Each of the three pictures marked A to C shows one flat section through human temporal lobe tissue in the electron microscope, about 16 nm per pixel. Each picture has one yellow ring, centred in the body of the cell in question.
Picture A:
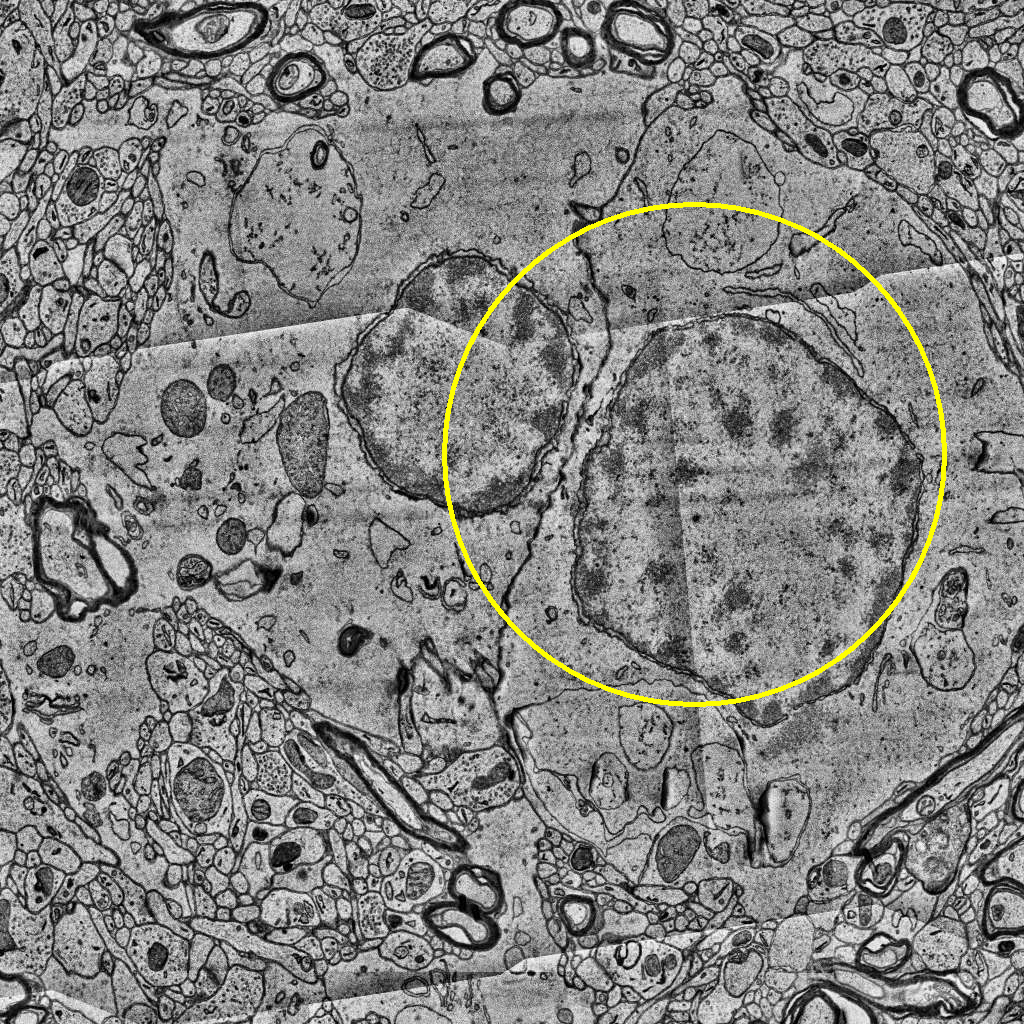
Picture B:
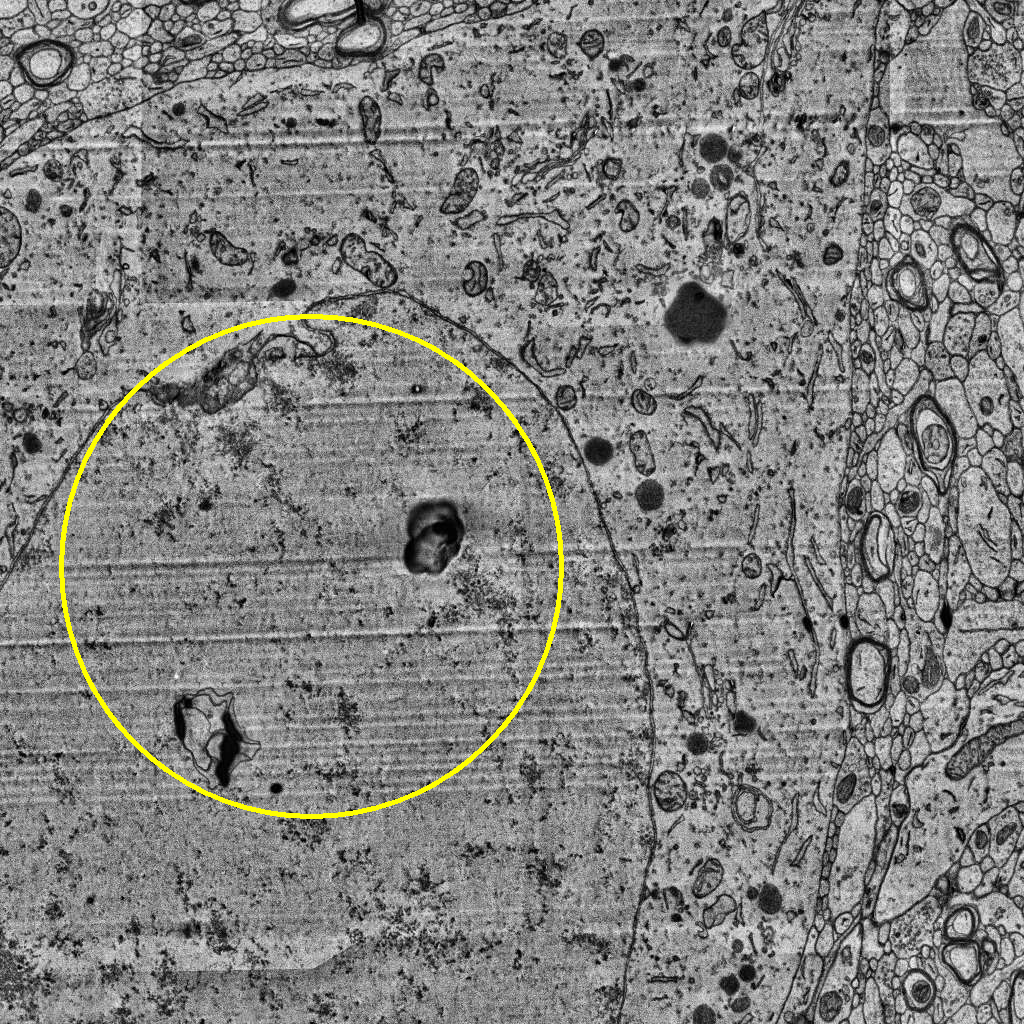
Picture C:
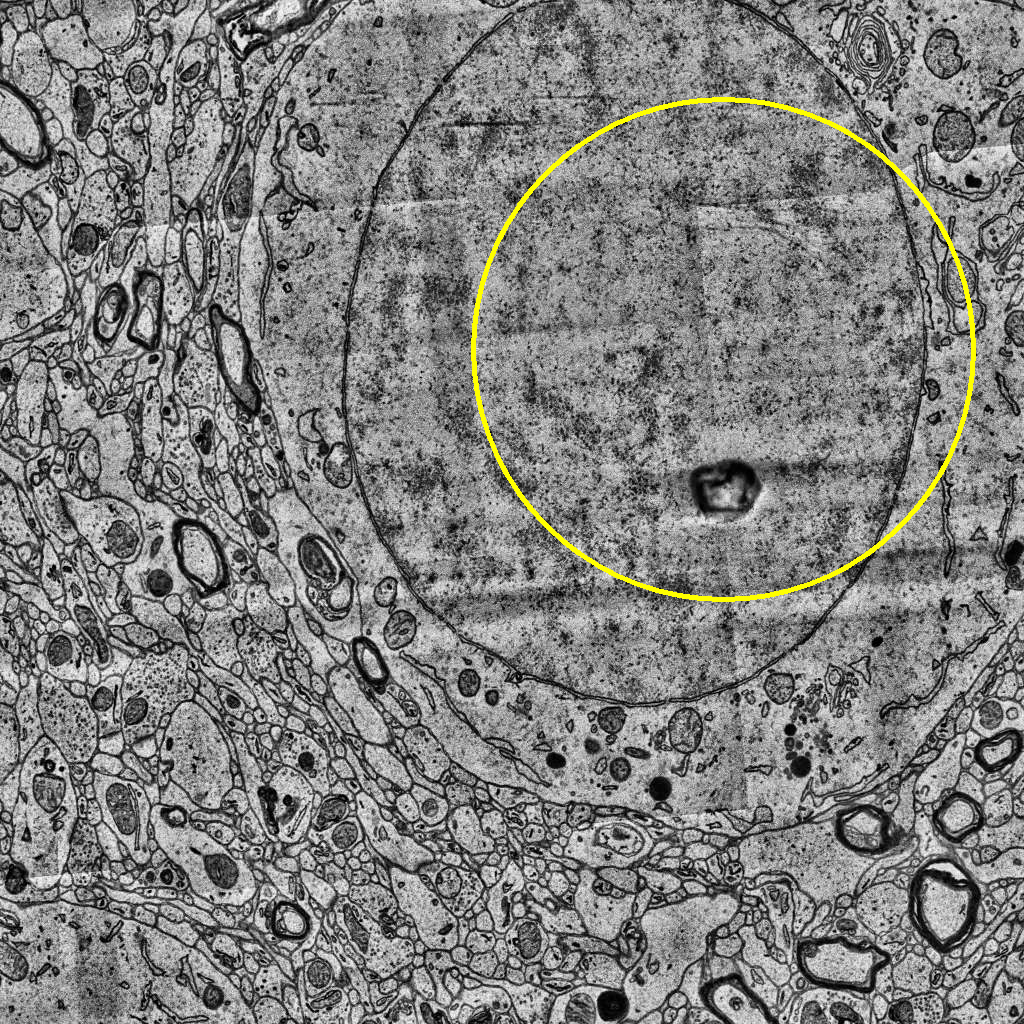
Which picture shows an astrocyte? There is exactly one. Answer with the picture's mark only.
A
